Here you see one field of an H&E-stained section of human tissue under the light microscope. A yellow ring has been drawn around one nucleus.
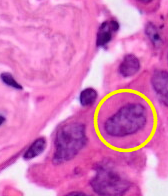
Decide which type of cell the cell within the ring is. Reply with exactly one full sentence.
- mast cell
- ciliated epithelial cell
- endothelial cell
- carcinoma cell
In this field of tissue, the cell within the ring is a carcinoma cell.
